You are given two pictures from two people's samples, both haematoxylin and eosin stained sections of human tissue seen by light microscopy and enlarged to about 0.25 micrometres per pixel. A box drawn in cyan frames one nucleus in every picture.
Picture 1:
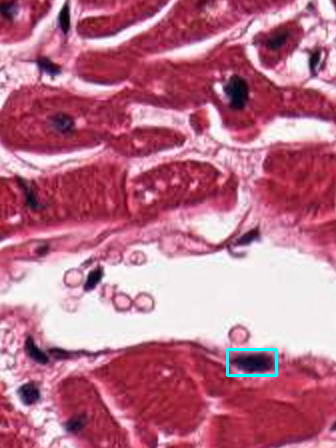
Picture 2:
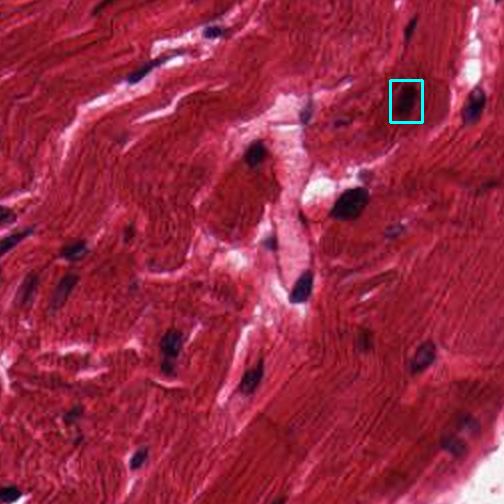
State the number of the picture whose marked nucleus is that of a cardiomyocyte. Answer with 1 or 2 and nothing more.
2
